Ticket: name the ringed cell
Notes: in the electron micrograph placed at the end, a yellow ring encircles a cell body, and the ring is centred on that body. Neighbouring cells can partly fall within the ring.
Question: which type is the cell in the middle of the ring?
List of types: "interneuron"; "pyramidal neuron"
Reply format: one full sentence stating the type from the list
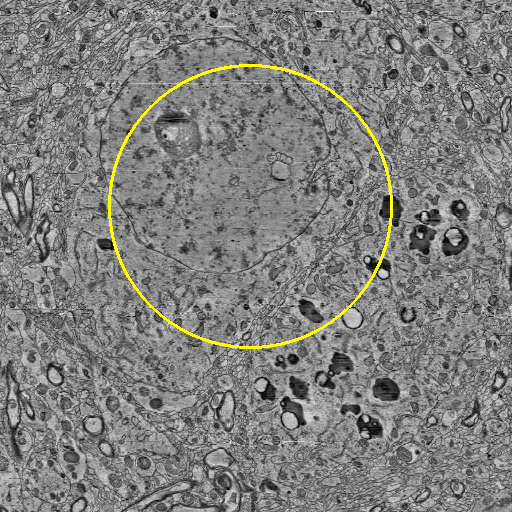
The cell sitting at the centre of the yellow ring is a pyramidal neuron.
